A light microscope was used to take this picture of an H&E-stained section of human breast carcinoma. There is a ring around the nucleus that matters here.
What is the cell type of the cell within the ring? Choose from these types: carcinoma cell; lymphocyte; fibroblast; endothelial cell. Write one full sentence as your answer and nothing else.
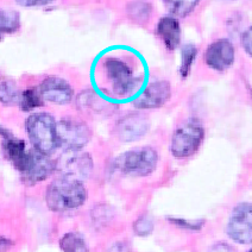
In the tissue at hand, the cell within the ring is a carcinoma cell.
